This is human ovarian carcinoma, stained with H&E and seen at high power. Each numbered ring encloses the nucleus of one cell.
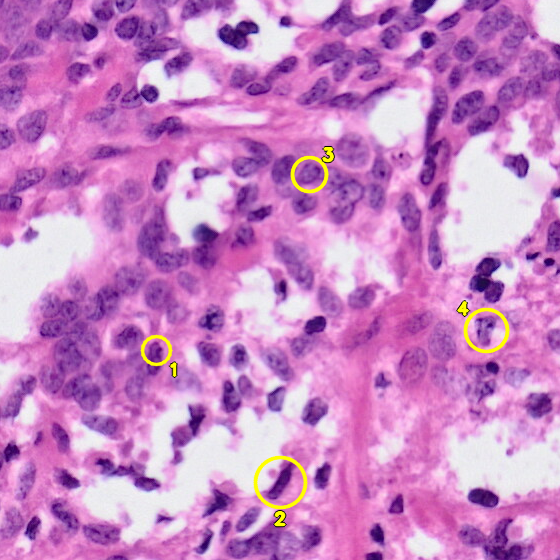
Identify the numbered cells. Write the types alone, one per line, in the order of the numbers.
carcinoma cell
macrophage or monocyte
carcinoma cell
macrophage or monocyte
